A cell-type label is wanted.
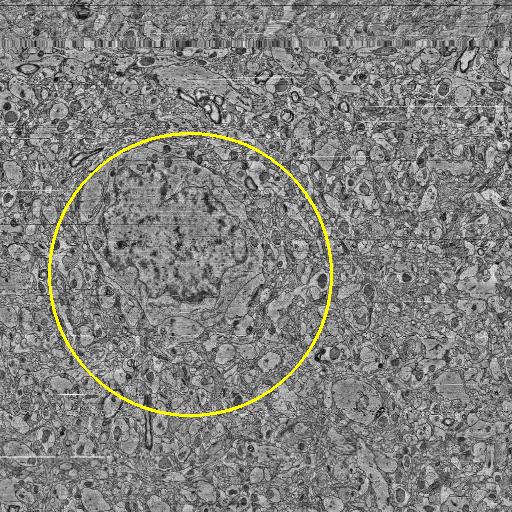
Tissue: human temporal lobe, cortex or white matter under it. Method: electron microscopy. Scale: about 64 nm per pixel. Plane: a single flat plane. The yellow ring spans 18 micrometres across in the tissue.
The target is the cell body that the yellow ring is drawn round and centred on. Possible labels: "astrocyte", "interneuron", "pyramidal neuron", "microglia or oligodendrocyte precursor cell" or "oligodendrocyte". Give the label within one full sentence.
Of the labels offered, the cell in the middle of the yellow ring is an interneuron.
